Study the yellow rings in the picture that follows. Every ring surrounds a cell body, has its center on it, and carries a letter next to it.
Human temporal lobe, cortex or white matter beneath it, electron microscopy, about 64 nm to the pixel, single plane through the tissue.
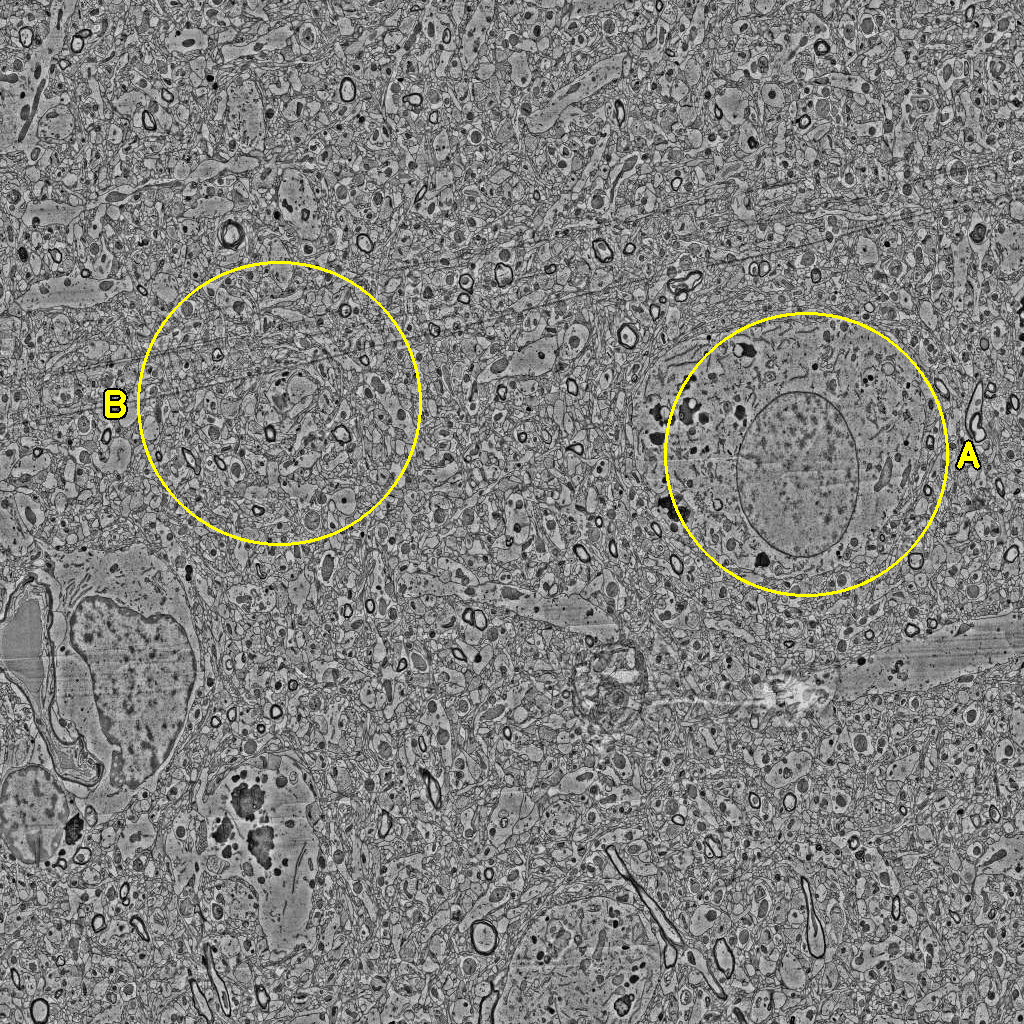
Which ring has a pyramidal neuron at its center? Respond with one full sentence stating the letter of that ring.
The ring centered on the cell asked for carries the letter A.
